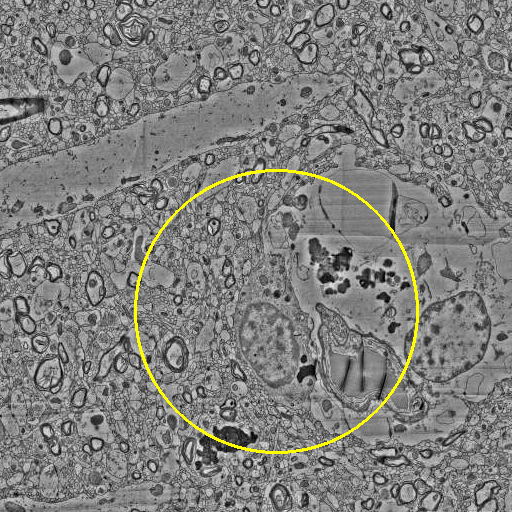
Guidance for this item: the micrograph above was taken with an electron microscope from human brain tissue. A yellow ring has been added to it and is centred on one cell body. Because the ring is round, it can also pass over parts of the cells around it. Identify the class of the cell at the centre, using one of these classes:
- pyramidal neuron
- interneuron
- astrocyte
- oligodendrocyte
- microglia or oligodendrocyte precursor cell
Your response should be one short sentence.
The ring surrounds the body of an oligodendrocyte.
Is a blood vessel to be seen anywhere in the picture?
Yes, one is visible.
